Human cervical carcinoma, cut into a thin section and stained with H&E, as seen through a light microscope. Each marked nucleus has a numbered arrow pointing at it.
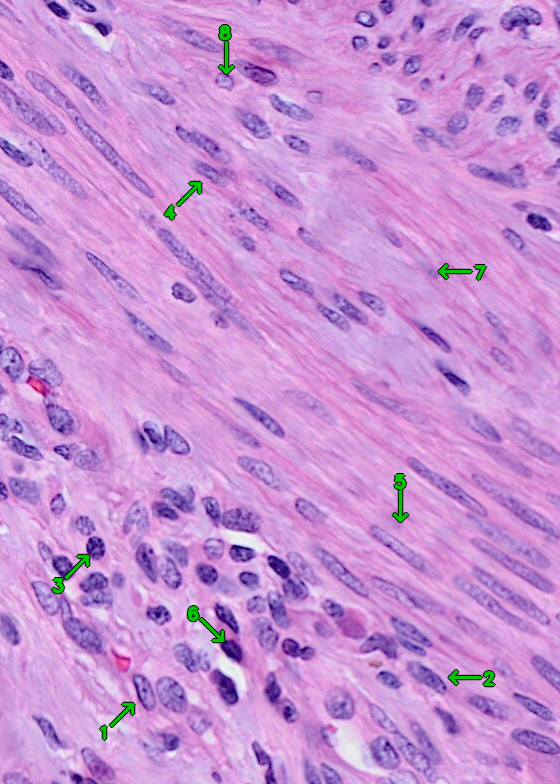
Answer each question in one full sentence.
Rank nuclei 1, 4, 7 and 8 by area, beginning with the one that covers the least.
The order from the smallest nucleus to the largest is 7, 8, 4, 1.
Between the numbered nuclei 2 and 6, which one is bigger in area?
Nucleus 2 is the larger one, covering about 2 times the area of nucleus 6.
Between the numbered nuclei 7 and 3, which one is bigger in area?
Of the two, number 3 is bigger and takes up about 2 times the area of number 7.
